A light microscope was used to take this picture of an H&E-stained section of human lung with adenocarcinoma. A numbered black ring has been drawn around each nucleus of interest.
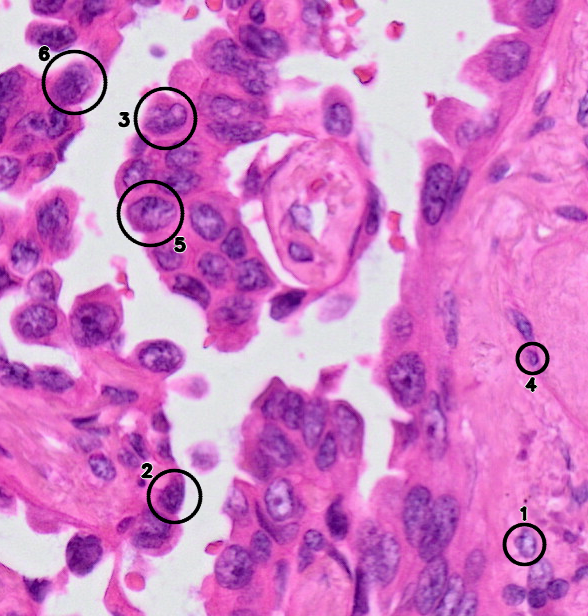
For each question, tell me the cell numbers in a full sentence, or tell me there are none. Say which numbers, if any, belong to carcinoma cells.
The cells assigned the numbers 2, 3, 5 and 6 are carcinoma cells.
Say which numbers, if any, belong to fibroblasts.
Only one of the numbered nuclei, number 1, belongs to a fibroblast.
